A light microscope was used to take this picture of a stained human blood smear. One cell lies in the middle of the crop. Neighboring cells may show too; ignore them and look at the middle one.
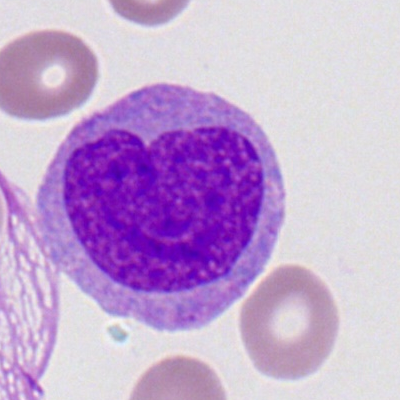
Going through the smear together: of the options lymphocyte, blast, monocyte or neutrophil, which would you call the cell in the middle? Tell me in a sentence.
In this smear crop, the middle cell is a blast.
